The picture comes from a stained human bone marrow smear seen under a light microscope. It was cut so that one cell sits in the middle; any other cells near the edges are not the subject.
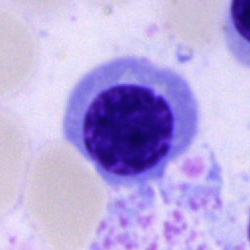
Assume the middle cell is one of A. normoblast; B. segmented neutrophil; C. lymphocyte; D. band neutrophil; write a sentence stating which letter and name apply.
The cell in the middle is correctly identified as a normoblast in option A.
